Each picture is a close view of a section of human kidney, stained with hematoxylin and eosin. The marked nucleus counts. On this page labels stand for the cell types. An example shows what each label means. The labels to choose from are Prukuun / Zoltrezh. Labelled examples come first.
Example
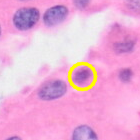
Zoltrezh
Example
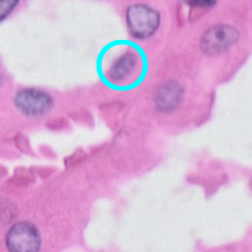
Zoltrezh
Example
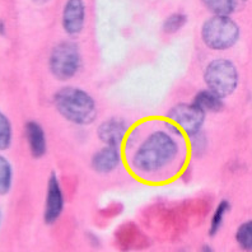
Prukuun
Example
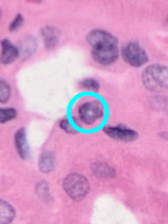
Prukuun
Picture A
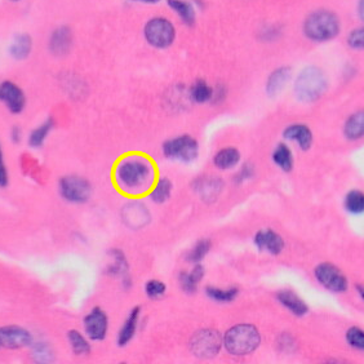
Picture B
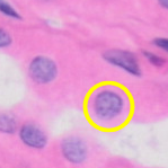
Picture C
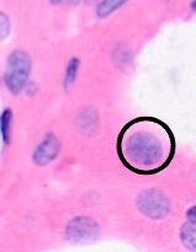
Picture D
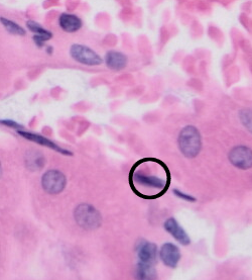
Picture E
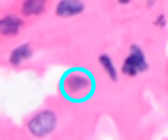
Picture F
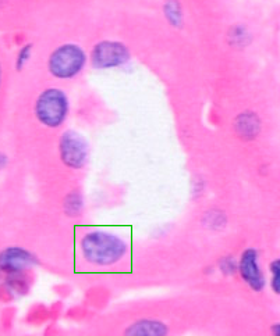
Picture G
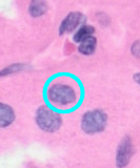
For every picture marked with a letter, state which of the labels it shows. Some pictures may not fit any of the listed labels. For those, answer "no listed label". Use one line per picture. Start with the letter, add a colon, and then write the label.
A: Prukuun
B: Zoltrezh
C: Zoltrezh
D: no listed label
E: Zoltrezh
F: Zoltrezh
G: Zoltrezh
